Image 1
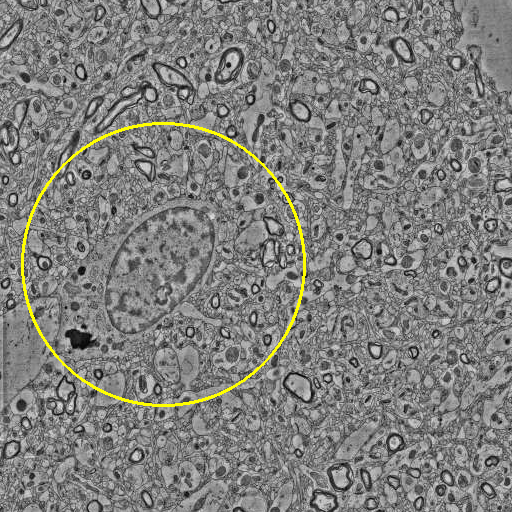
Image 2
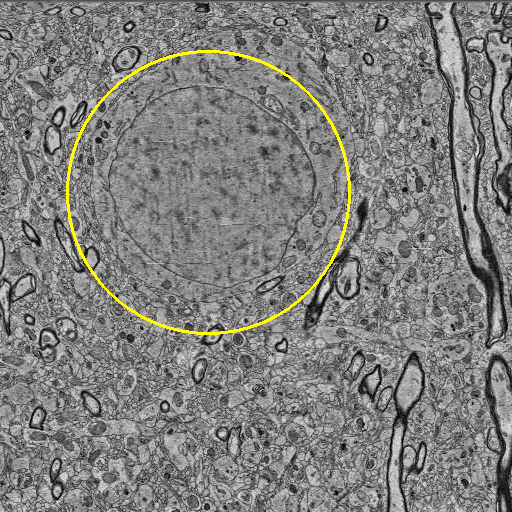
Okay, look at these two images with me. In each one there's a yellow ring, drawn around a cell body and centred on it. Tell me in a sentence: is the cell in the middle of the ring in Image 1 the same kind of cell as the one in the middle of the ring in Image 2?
No, they're two kinds of cell.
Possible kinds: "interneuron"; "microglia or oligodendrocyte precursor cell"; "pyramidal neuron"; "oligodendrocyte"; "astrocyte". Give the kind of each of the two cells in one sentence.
The cell in the second picture is a pyramidal neuron, and that in the first is an oligodendrocyte.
